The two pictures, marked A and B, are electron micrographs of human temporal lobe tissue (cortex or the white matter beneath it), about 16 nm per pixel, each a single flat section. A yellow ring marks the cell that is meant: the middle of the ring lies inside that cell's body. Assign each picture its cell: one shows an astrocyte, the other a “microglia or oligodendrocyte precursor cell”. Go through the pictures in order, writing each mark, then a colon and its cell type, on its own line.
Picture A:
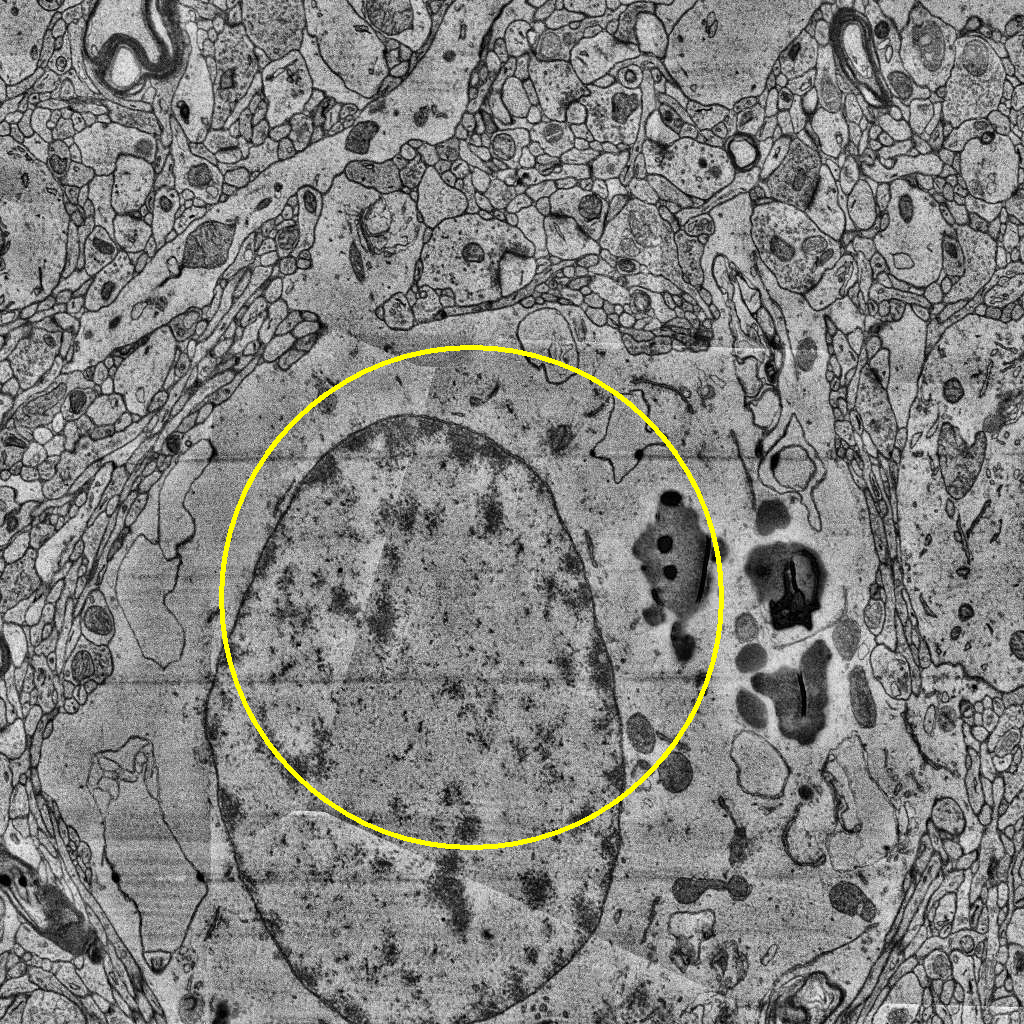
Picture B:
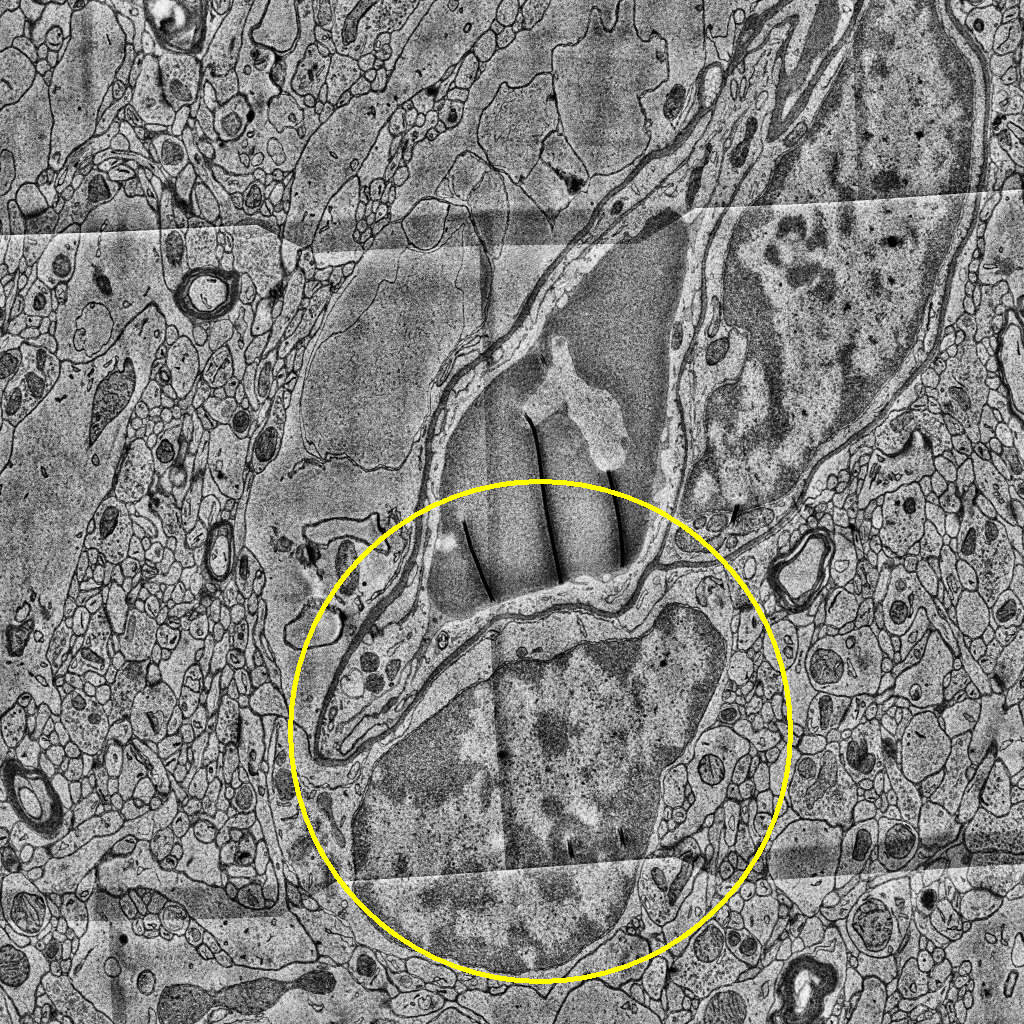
A: astrocyte
B: microglia or oligodendrocyte precursor cell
